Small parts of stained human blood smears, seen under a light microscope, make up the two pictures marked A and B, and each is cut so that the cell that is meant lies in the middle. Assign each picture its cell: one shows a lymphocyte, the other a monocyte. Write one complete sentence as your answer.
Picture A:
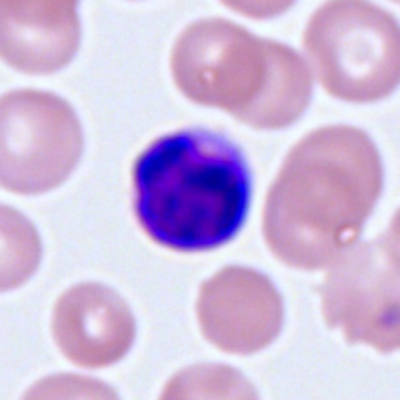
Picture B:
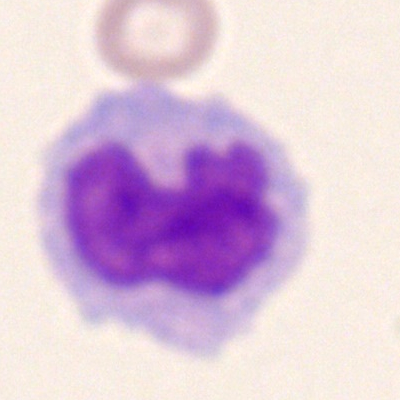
It is picture A that shows a lymphocyte, and picture B that shows a monocyte.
